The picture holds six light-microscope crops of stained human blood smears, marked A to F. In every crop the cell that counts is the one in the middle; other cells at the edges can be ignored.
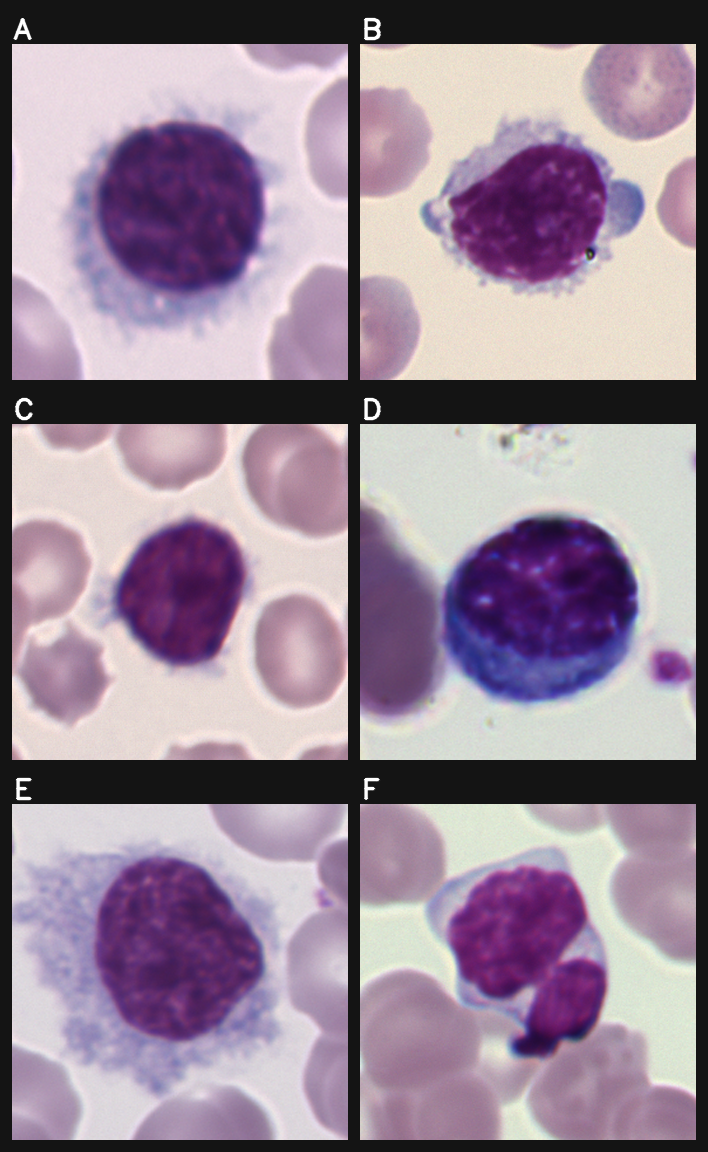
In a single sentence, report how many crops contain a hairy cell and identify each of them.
Crops showing hairy cells are A, C and E, so three altogether.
